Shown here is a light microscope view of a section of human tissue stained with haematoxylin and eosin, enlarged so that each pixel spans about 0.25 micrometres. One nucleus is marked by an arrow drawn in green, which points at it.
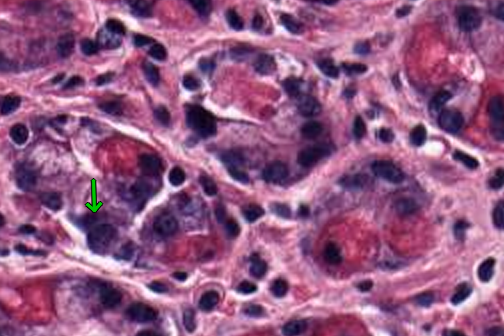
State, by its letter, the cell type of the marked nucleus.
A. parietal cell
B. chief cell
B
